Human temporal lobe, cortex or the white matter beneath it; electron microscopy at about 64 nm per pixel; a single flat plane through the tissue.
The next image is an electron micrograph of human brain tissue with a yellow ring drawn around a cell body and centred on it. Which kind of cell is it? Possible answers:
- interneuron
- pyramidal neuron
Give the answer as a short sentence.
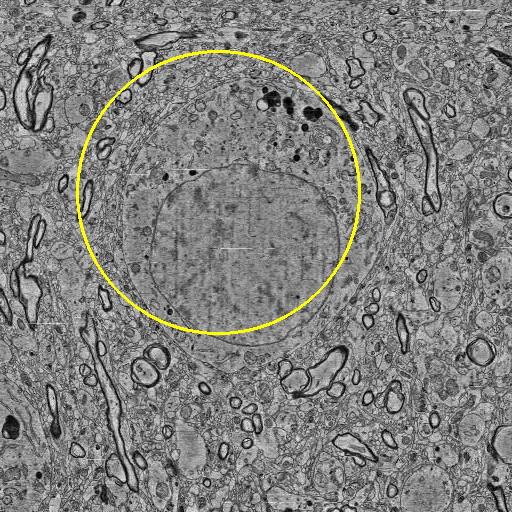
In the ring's centre is a pyramidal neuron.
